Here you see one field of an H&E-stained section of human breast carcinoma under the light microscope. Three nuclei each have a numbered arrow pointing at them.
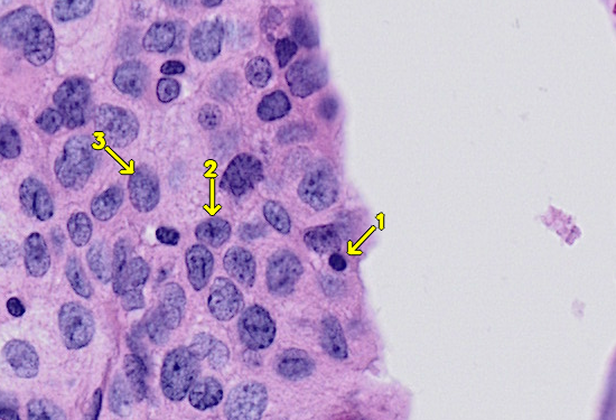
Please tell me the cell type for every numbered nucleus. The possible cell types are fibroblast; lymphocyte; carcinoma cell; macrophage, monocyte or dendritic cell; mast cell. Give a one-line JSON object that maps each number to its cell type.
{"1": "lymphocyte", "2": "carcinoma cell", "3": "carcinoma cell"}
